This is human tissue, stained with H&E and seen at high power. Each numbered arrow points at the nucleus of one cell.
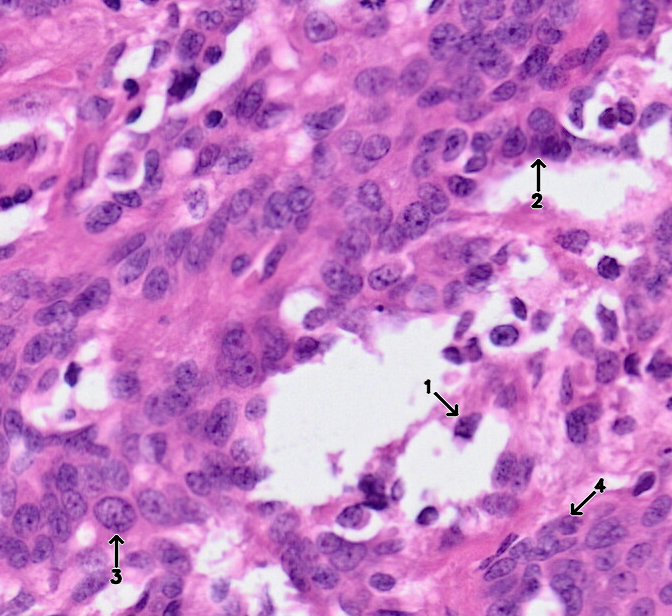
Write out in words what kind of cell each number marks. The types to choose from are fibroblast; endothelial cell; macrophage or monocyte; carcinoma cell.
Cell 1 is a macrophage or monocyte. Cells 2, 3 and 4 are carcinoma cells.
